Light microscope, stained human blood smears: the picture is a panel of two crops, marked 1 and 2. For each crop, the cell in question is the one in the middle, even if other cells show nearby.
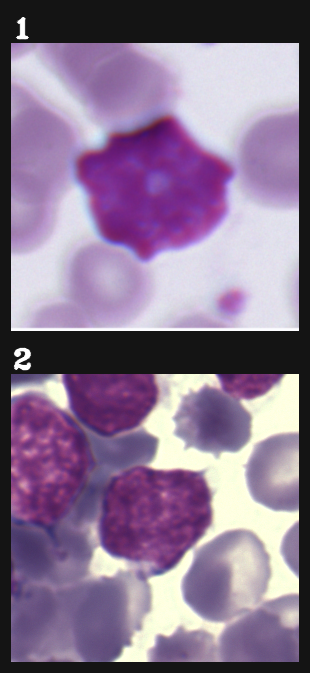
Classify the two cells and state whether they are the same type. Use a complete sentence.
No, it is a smudge cell that crop 1 shows, and a myeloblast that crop 2 shows.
